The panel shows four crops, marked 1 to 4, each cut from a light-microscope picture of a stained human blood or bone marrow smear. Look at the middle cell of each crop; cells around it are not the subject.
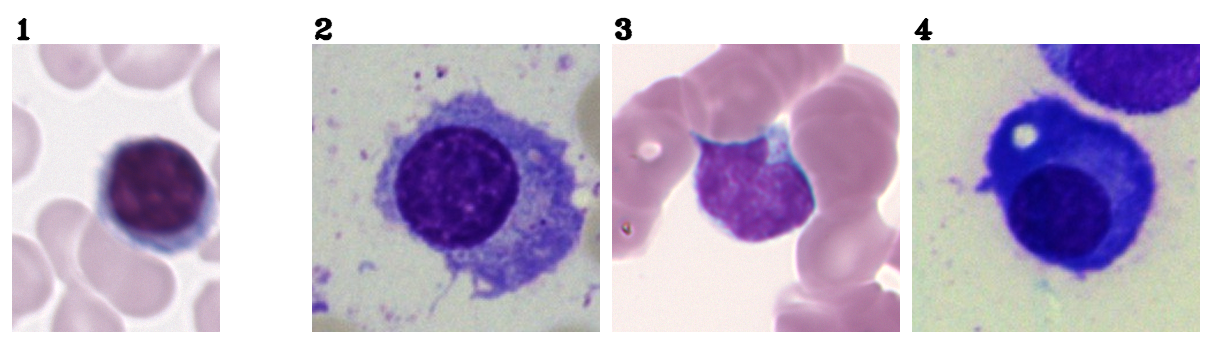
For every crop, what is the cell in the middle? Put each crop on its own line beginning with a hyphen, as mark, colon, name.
- 1: lymphocyte
- 2: plasma cell
- 3: lymphocyte
- 4: plasma cell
